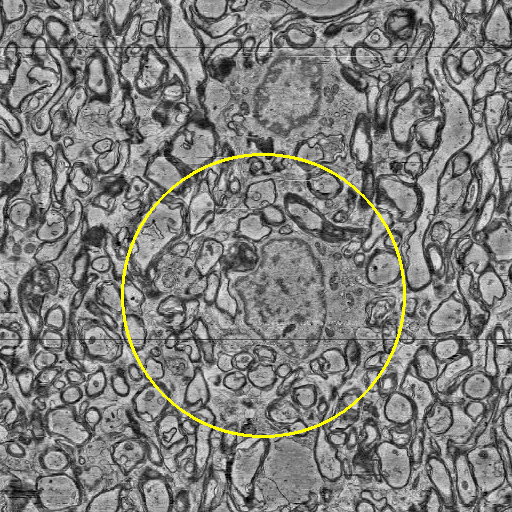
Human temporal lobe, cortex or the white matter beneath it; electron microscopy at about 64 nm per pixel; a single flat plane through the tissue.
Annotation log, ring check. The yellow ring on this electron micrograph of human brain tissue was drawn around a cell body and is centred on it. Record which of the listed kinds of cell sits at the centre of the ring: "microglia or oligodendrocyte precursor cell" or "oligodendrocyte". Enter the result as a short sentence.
The cell at the centre of the ring is an oligodendrocyte.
